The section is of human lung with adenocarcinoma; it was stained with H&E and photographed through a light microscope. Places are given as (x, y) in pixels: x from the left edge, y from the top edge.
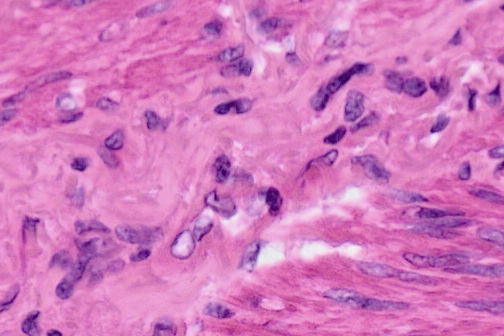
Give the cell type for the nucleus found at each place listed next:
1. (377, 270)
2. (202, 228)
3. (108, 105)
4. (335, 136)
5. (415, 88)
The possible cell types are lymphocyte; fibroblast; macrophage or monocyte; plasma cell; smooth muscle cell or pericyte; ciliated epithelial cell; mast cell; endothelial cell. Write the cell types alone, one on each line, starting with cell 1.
smooth muscle cell or pericyte
endothelial cell
smooth muscle cell or pericyte
mast cell
mast cell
